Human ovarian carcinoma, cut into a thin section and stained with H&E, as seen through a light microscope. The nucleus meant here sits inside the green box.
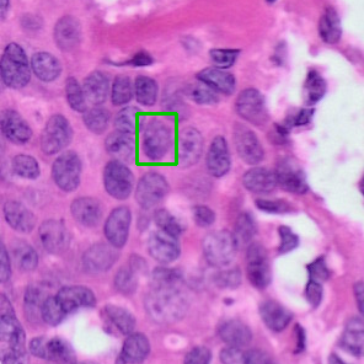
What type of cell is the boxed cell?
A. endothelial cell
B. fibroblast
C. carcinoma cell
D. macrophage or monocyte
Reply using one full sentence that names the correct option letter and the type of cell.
Since the boxed cell is a carcinoma cell, the right option is C.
